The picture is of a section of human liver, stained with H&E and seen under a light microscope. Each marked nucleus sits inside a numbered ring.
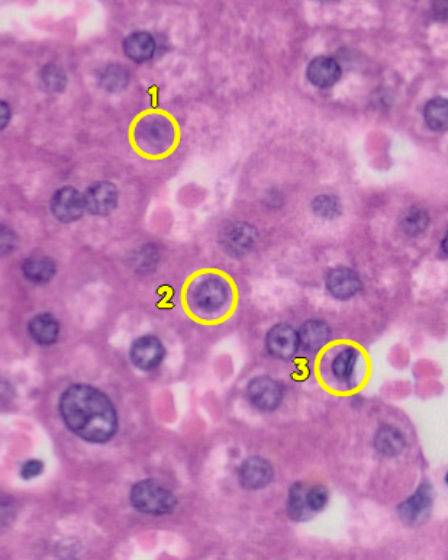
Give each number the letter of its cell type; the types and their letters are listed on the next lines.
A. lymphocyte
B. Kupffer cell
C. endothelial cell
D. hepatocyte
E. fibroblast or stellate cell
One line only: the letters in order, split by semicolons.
D; D; E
